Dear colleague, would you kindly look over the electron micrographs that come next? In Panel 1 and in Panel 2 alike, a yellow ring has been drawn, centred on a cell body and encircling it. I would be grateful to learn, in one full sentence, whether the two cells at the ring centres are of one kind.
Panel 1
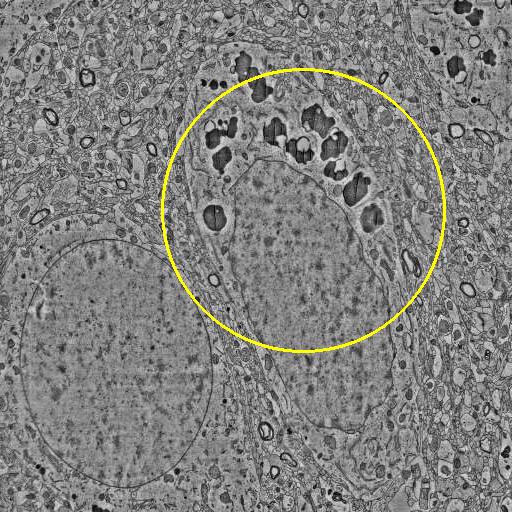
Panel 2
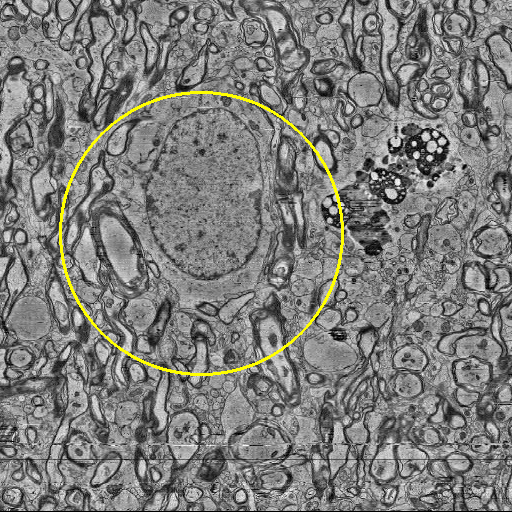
No, the cells in the middle of the rings in the two panels are of two kinds.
